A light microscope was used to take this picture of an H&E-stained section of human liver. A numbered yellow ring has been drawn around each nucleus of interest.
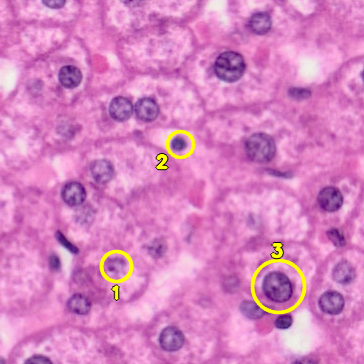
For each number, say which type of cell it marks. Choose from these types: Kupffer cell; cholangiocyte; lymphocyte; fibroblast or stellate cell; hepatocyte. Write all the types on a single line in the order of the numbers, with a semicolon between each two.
hepatocyte; lymphocyte; hepatocyte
